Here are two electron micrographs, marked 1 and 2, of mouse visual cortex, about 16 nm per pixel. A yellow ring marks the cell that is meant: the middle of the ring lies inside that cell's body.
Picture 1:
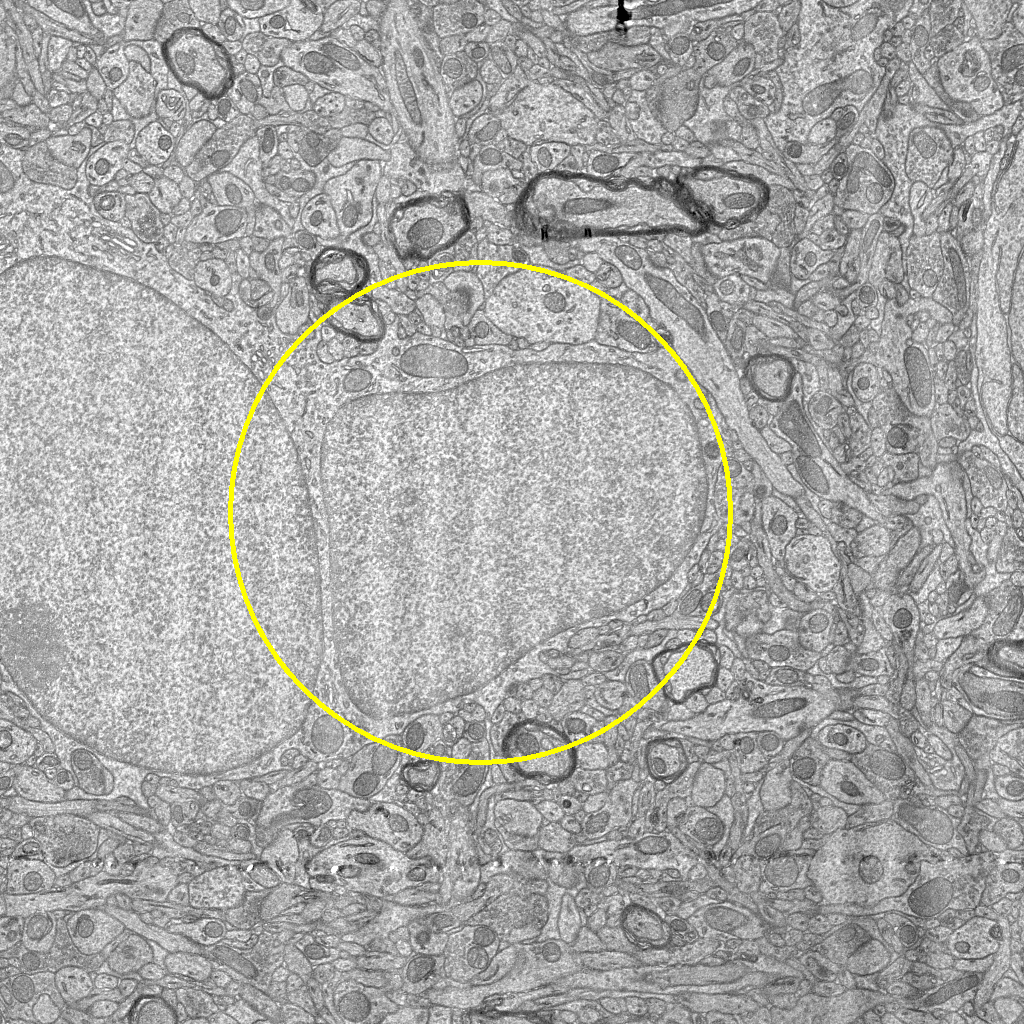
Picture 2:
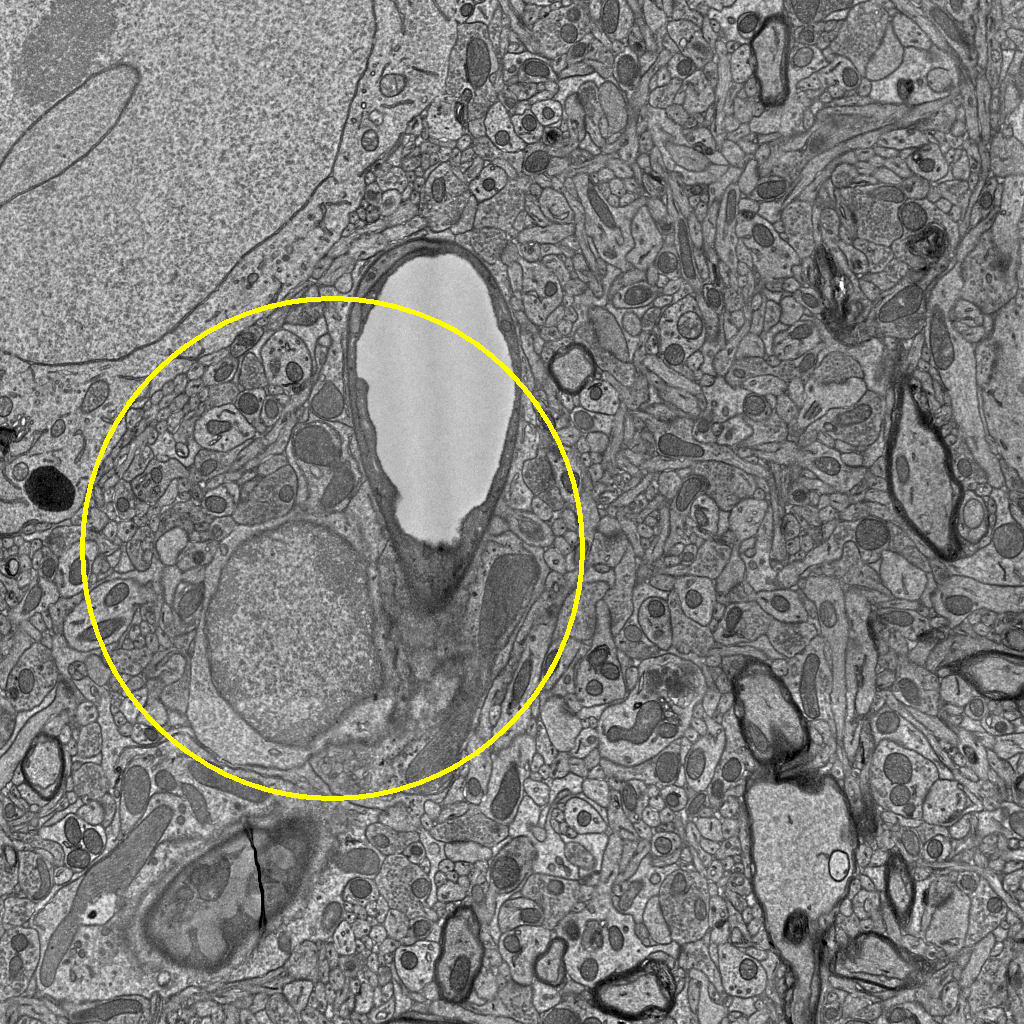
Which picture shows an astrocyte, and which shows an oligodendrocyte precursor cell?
Picture 1 is of an astrocyte, and picture 2 is of an oligodendrocyte precursor cell.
